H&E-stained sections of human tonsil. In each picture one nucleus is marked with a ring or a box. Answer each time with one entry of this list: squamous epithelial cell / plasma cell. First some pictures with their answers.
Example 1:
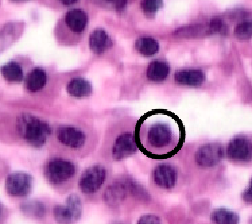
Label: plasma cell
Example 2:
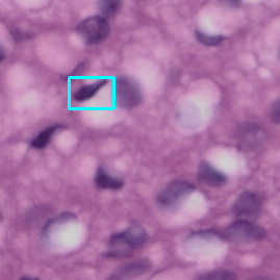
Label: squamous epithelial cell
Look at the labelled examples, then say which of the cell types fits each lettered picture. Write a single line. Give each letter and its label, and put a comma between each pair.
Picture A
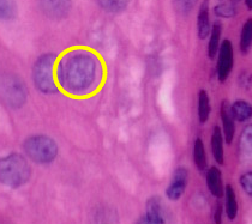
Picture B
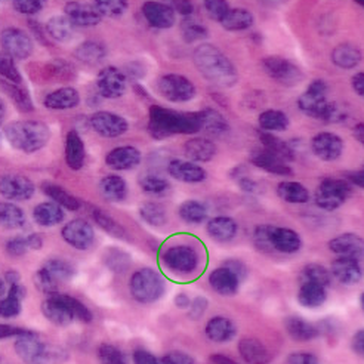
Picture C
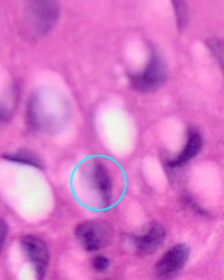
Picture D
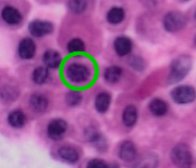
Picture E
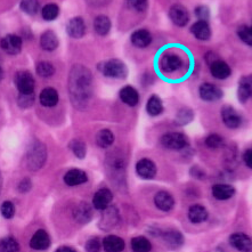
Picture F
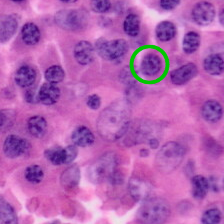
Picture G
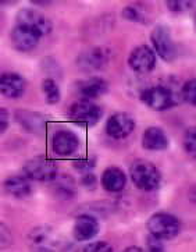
A squamous epithelial cell, B plasma cell, C squamous epithelial cell, D plasma cell, E plasma cell, F plasma cell, G plasma cell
